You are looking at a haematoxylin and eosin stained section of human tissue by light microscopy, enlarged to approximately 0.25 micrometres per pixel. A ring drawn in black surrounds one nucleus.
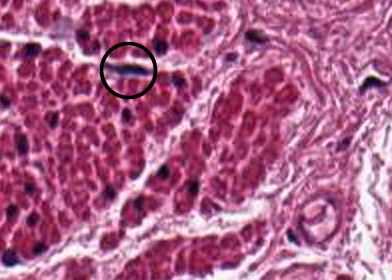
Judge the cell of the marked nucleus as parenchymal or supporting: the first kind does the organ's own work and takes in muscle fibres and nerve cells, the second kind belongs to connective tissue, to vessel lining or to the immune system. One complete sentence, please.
The indicated nucleus in this section belongs to a supporting cell.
